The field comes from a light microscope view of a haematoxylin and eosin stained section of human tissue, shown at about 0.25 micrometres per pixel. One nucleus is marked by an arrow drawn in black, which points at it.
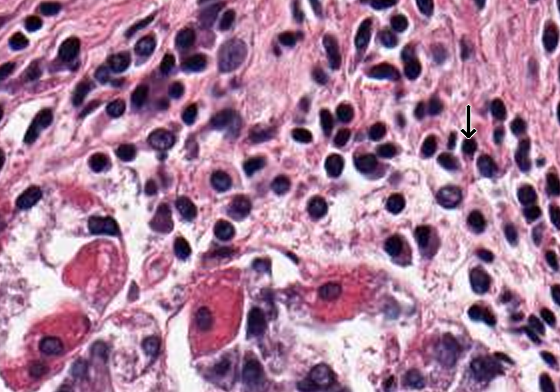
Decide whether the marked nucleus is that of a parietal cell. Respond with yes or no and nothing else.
no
